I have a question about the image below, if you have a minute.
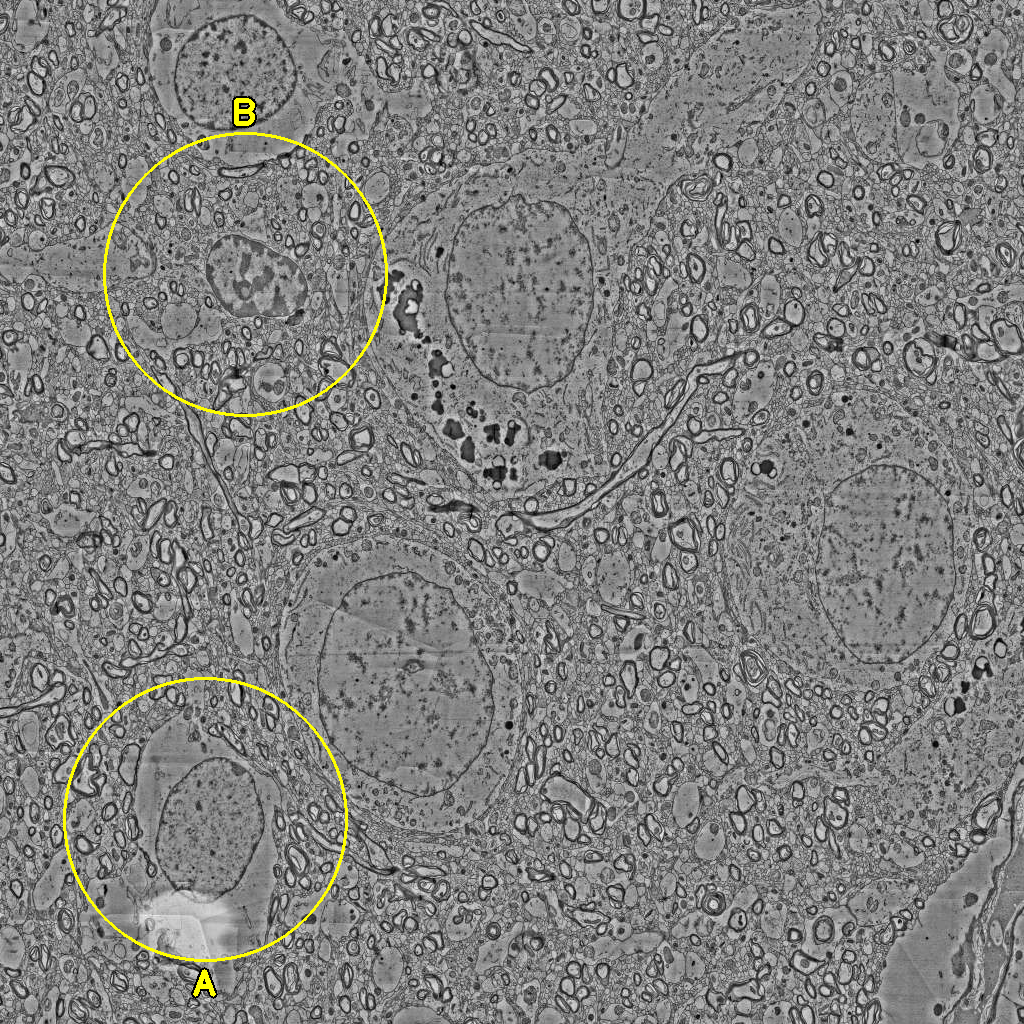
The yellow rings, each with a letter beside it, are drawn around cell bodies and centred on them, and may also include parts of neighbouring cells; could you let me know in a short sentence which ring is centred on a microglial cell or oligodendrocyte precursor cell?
Ring B is centred on it.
